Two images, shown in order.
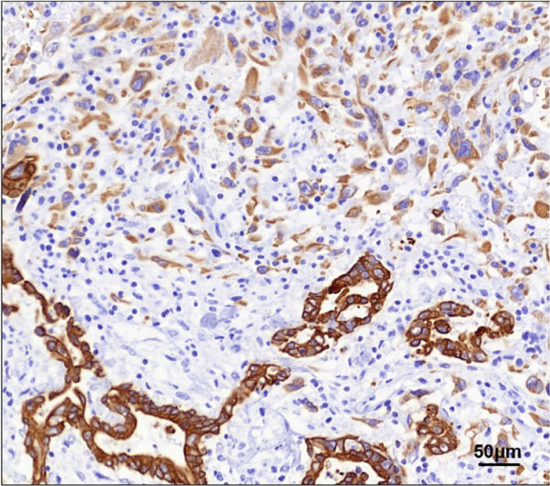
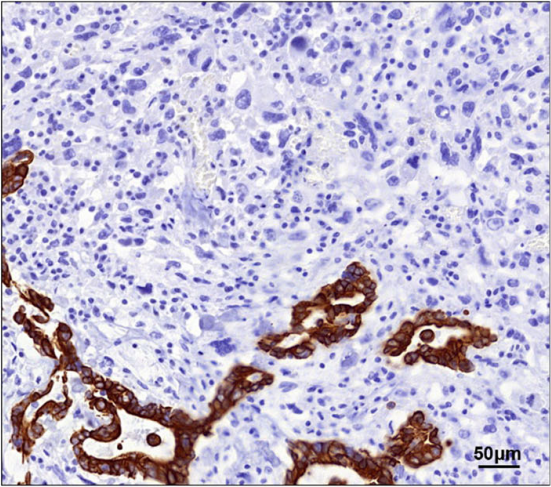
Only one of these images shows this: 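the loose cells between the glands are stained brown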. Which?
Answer: The first image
